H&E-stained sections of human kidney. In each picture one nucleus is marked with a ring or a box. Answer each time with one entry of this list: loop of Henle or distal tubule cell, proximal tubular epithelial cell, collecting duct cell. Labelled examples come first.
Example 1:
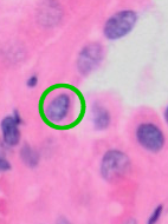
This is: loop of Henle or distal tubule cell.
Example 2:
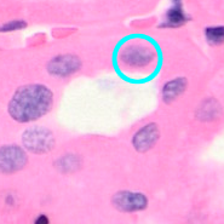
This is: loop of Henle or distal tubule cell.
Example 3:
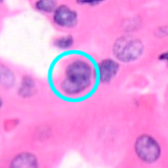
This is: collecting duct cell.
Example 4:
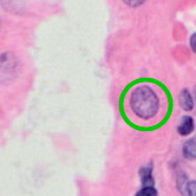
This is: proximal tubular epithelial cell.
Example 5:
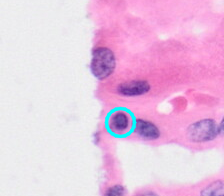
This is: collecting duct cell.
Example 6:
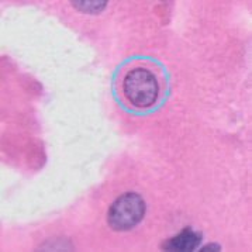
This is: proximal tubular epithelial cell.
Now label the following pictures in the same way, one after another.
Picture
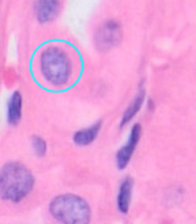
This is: loop of Henle or distal tubule cell.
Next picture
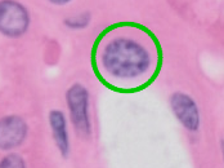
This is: collecting duct cell.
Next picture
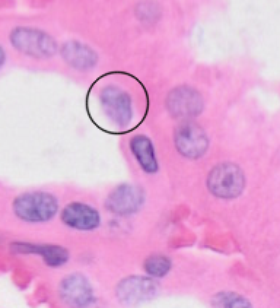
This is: collecting duct cell.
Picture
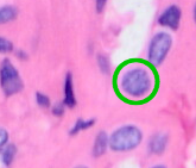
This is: collecting duct cell.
